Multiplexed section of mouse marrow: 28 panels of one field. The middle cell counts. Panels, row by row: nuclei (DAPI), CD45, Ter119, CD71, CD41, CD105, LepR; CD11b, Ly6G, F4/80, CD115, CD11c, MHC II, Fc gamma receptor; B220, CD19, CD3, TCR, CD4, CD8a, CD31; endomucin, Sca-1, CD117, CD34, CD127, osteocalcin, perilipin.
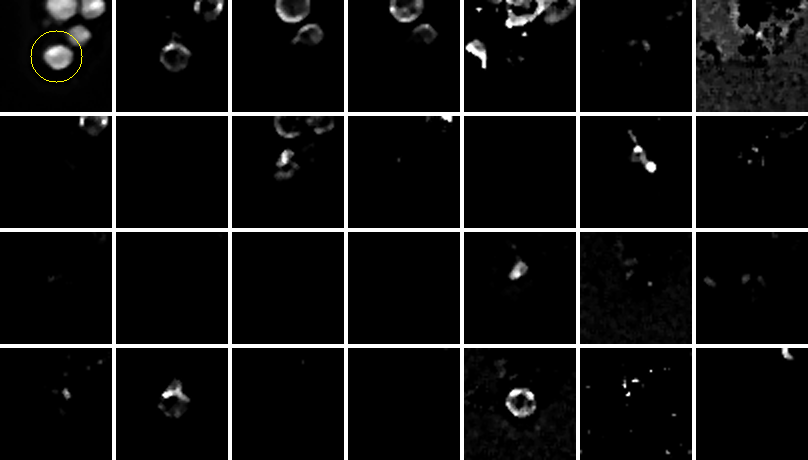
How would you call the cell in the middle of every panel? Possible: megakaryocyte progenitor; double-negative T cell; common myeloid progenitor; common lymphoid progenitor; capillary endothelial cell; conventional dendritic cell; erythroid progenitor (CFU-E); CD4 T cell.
I would call it a common lymphoid progenitor.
